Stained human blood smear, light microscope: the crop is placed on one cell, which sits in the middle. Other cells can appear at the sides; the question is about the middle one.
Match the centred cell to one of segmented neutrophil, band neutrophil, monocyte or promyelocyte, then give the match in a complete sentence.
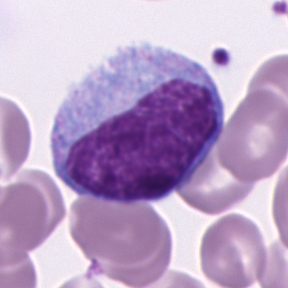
Looking at the middle of the crop, the cell there is a monocyte.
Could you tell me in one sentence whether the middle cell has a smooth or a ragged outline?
Thanks for asking; the cell edge is smooth and has no projections.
